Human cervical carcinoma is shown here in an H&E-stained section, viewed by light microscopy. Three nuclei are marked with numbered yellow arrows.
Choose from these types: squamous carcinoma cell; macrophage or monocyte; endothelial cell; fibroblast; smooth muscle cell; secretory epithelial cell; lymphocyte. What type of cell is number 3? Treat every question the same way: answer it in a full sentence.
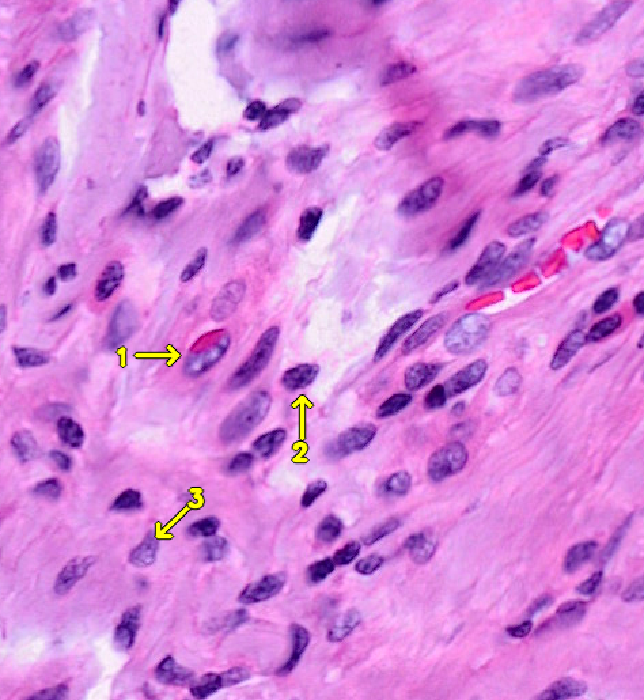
The numeral 3 marks a fibroblast in this section.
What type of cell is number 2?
The cell tagged with 2 in this tissue section is a lymphocyte.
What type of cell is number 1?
The cell referred to as 1 is an endothelial cell.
